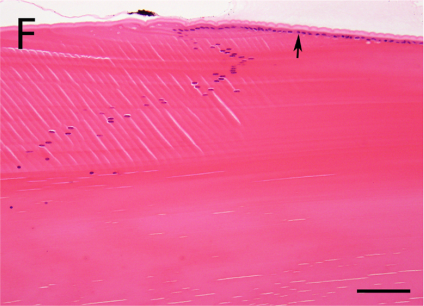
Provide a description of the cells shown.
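This section of the lens at its equator shows the anterior epithelium as a single row of small, dark purple nuclei lying directly beneath the thin, smooth outer capsule. Below the epithelium the lens is made of long, closely packed pink fibres arranged in parallel lamellae. A scatter of nuclei runs obliquely from the epithelial row down into the fibre mass. Deeper down the fibres are uniformly pink and show no nuclei.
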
